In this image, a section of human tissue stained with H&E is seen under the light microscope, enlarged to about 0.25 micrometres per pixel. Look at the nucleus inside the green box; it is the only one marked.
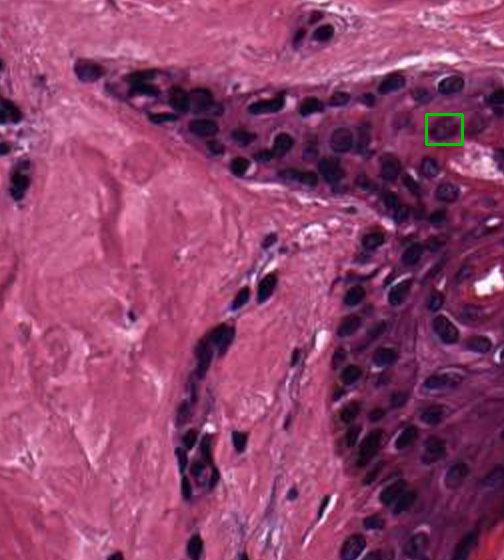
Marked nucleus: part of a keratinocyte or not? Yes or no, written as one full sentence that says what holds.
Yes, a keratinocyte is the cell that the marked nucleus belongs to.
